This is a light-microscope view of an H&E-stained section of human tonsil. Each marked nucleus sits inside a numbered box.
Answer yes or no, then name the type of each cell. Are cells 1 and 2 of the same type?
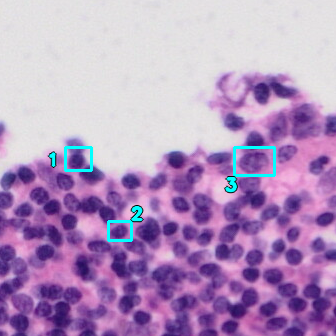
Yes, both are small lymphocytes.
